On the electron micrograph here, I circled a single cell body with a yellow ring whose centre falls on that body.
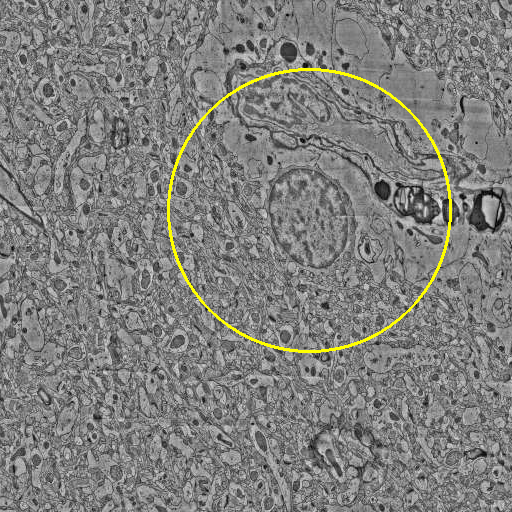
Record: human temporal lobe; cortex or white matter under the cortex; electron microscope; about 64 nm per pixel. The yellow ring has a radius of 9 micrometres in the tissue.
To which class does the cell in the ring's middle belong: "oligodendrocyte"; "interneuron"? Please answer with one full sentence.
In this picture, the cell body circled at the ring's centre belongs to an oligodendrocyte.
